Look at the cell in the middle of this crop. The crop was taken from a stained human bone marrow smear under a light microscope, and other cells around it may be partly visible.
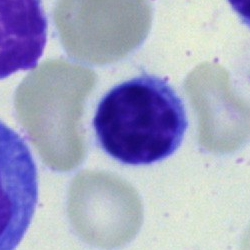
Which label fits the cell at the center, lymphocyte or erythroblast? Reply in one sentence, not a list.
The crop shows a lymphocyte in its centre.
